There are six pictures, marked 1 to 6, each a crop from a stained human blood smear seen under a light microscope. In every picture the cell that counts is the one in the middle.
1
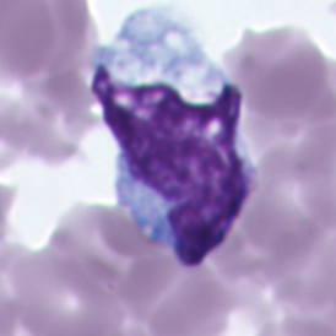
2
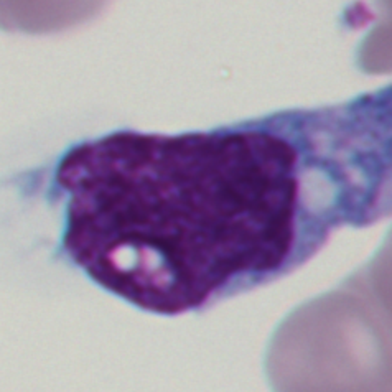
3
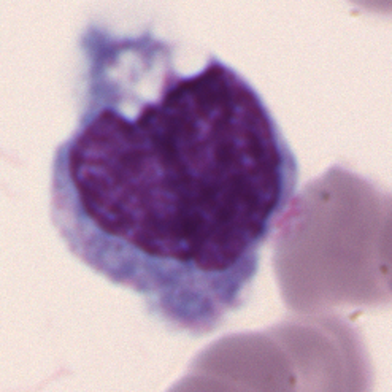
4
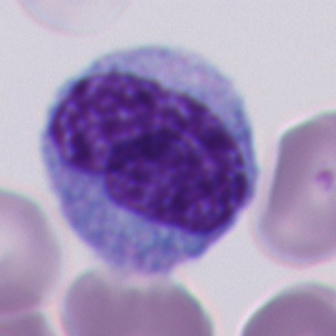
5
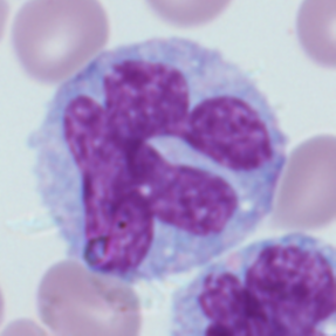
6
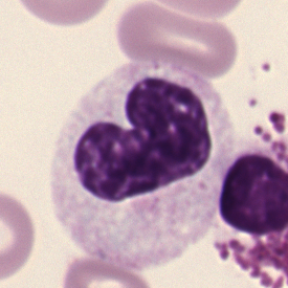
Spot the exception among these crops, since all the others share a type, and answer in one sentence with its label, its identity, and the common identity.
Crop 6 is a band neutrophil, the one exception to the monocytes of the other crops.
